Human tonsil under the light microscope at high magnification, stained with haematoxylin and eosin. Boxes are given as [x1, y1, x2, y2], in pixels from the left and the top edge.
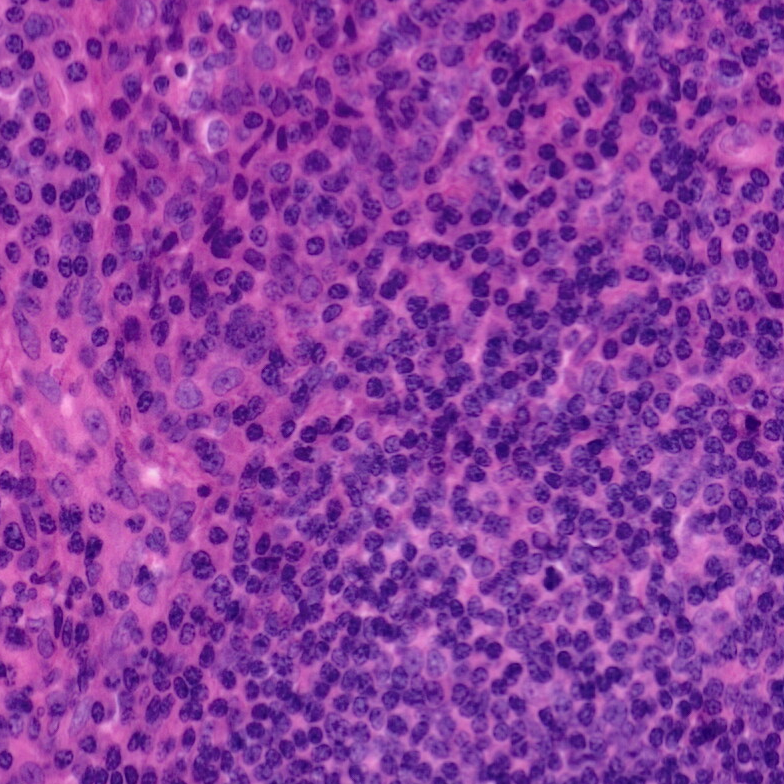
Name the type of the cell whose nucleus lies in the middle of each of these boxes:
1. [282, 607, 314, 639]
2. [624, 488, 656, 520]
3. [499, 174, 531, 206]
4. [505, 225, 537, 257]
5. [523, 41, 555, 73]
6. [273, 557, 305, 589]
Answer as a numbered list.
1. small lymphocyte
2. small lymphocyte
3. plasma cell
4. plasma cell
5. plasma cell
6. small lymphocyte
